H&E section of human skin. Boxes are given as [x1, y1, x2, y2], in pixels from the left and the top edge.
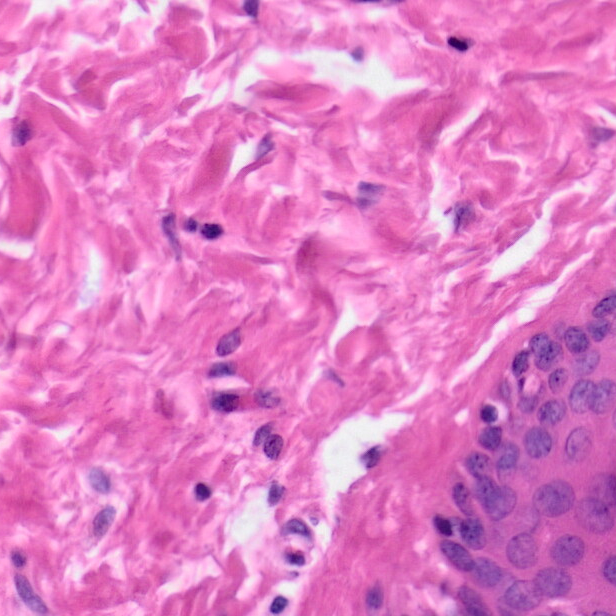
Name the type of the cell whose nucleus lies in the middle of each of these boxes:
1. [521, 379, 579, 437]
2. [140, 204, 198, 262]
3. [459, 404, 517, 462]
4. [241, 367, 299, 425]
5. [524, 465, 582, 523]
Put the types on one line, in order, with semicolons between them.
suprabasal keratinocyte; fibroblast; basal keratinocyte; endothelial cell; suprabasal keratinocyte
